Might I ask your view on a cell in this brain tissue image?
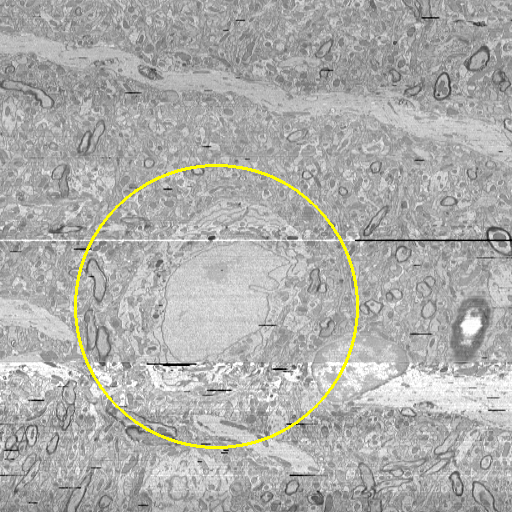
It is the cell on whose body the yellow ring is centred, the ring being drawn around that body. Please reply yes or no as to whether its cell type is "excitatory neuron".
no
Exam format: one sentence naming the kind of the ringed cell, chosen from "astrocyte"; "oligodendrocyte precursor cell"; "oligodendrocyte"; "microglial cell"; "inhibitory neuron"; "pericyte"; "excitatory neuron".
Instead, the cell at the centre of the ring is an inhibitory neuron.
